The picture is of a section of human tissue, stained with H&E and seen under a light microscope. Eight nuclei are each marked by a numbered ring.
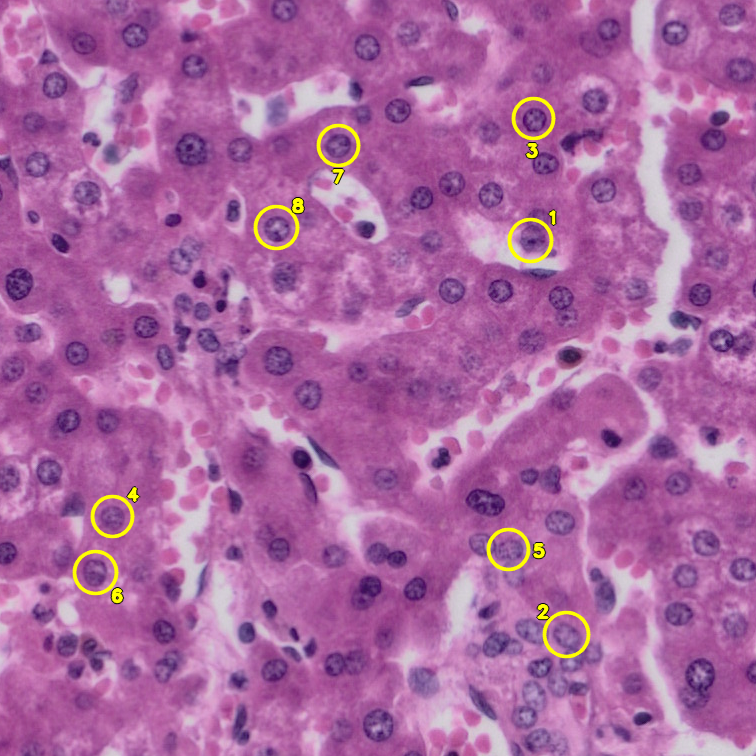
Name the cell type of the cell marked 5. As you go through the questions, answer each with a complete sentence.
The cell that is numbered 5 is a cholangiocyte.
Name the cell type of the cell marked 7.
The nucleus with number 7 is that of a hepatocyte.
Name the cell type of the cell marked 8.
The cell marked with number 8 is a hepatocyte.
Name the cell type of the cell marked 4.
The marked cell bearing number 4 is a hepatocyte.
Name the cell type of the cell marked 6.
In the marked set, the cell given number 6 is a hepatocyte.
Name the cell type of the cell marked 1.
Here, the cell given the number 1 is a Kupffer cell.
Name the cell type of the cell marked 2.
The cell that is numbered 2 is a cholangiocyte.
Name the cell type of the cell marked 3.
The cell pointed out as number 3 is a hepatocyte.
